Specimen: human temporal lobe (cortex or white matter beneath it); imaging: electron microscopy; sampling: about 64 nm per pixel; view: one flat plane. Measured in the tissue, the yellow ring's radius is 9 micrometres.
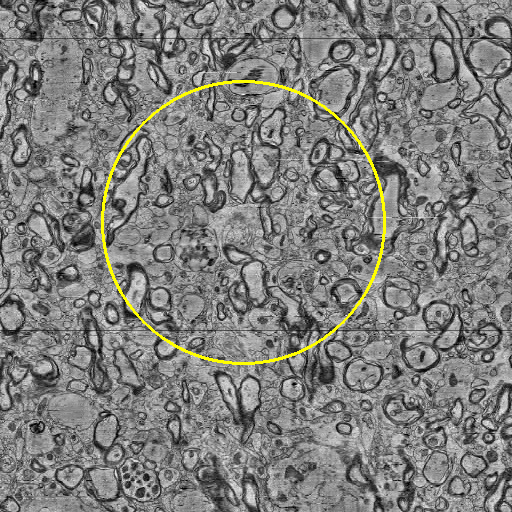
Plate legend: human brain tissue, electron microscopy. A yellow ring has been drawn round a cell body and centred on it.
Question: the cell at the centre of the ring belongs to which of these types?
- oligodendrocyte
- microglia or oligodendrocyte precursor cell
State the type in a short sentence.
The cell in the middle of the ring is a microglial cell or oligodendrocyte precursor cell.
